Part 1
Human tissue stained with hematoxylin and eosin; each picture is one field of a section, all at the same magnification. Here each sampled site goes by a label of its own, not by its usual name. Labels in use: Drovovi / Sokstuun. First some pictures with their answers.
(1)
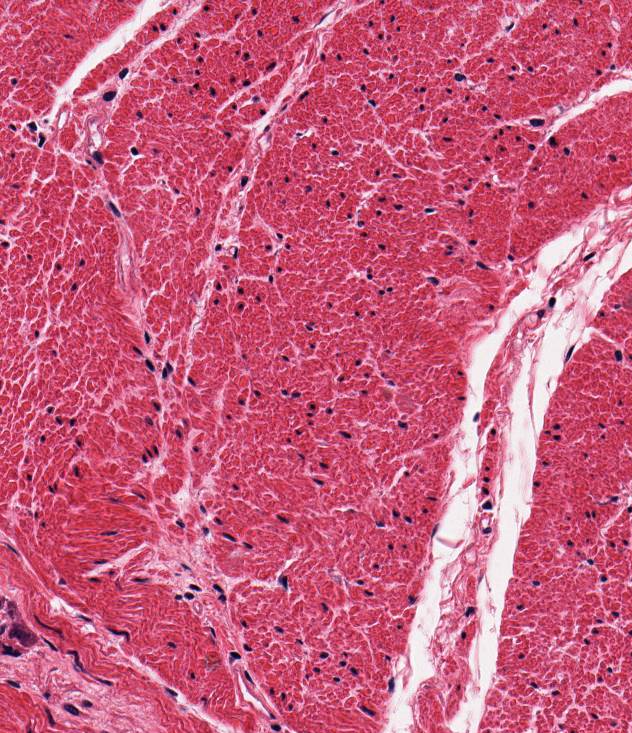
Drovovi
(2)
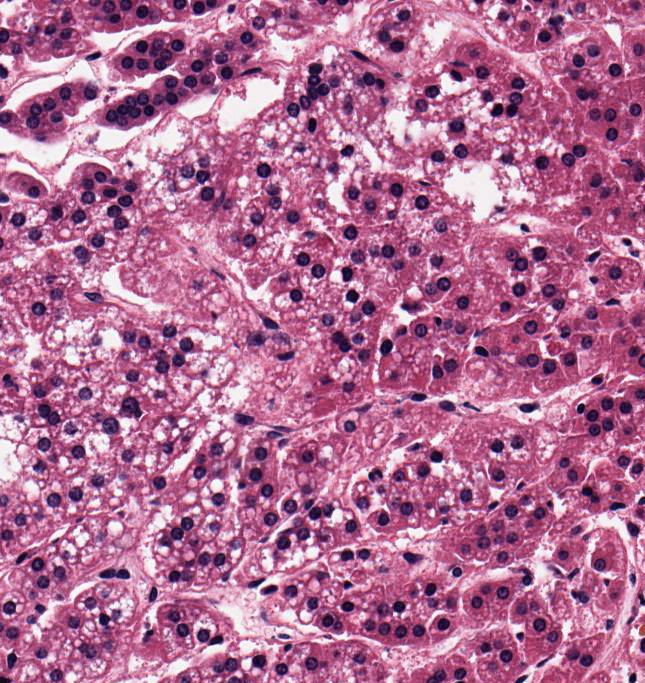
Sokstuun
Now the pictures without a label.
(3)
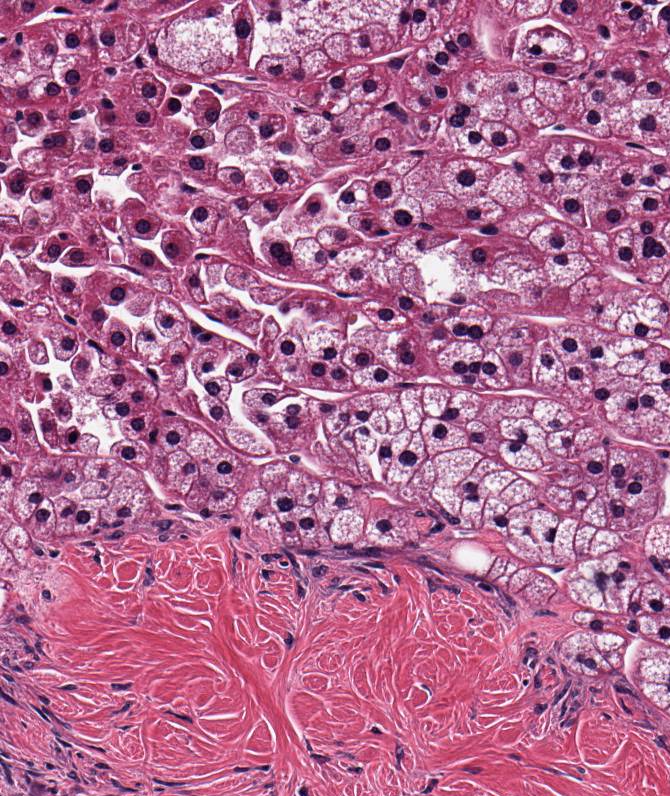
Sokstuun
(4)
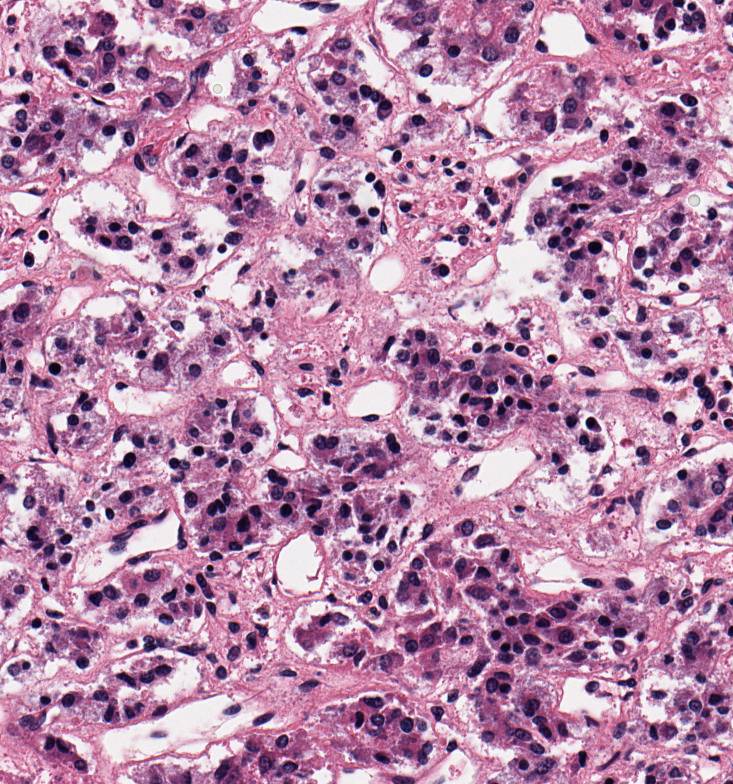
Sokstuun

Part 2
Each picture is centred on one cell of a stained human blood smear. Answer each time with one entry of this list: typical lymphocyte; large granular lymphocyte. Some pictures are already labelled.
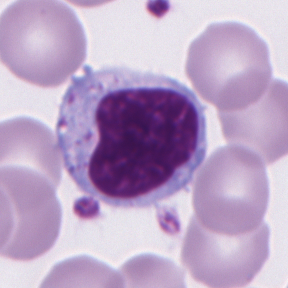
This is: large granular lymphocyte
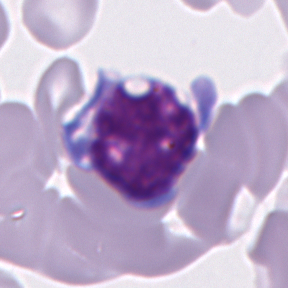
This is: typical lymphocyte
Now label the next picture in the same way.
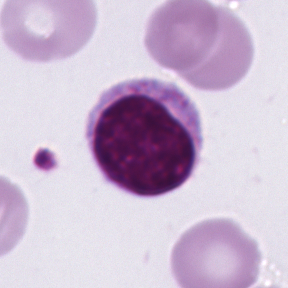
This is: large granular lymphocyte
